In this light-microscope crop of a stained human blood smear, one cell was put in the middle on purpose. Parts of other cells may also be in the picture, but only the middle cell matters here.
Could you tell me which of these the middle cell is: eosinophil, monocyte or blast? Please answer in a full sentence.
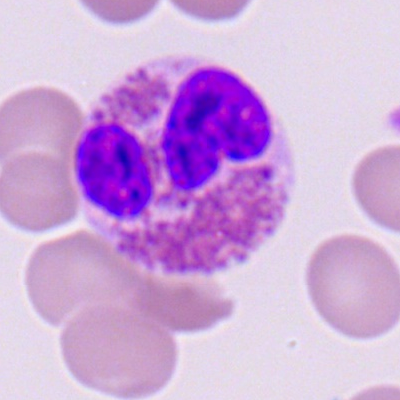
The cell sitting right in the middle is an eosinophil.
